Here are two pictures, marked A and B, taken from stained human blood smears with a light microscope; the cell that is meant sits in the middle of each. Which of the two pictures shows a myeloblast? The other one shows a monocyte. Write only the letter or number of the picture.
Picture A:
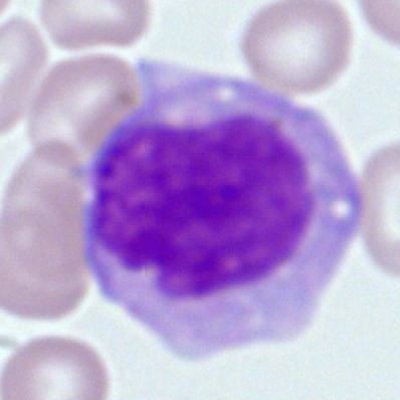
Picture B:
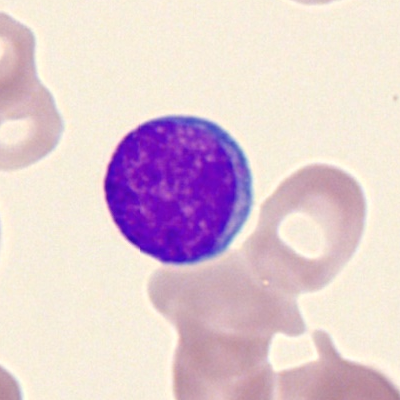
B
